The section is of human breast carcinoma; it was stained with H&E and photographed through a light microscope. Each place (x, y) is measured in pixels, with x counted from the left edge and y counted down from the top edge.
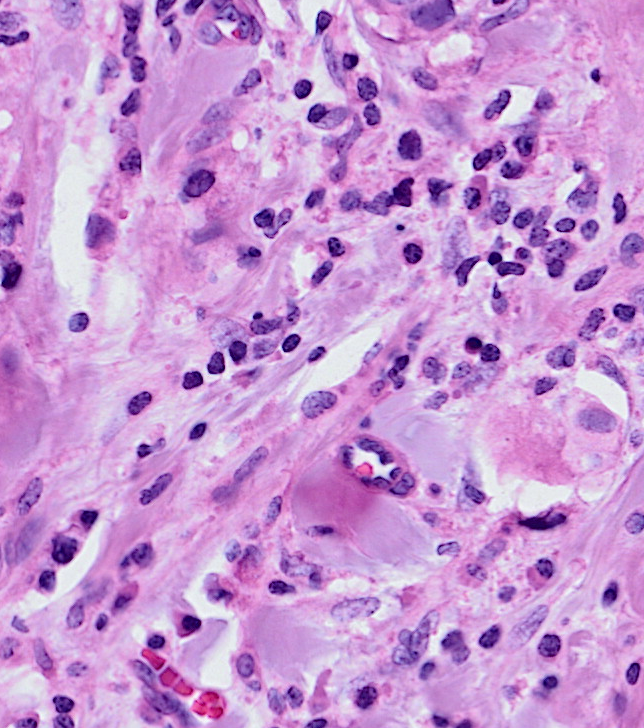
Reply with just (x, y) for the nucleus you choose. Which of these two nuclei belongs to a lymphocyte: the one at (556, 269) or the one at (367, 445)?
(556, 269)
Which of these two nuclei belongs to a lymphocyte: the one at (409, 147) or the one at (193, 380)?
(193, 380)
